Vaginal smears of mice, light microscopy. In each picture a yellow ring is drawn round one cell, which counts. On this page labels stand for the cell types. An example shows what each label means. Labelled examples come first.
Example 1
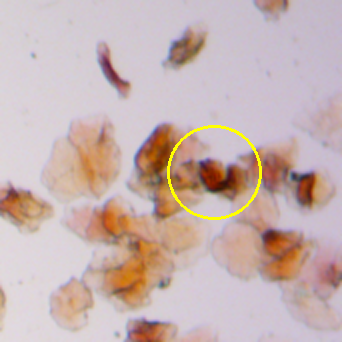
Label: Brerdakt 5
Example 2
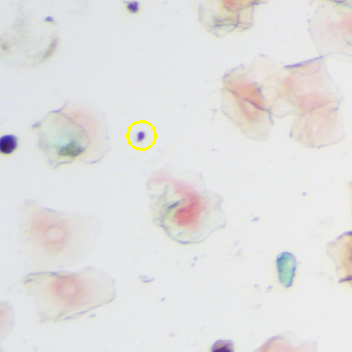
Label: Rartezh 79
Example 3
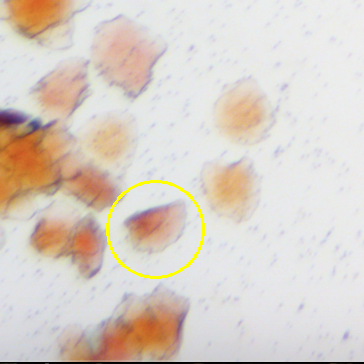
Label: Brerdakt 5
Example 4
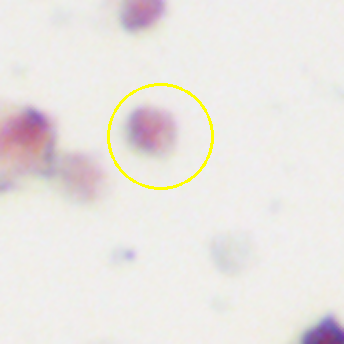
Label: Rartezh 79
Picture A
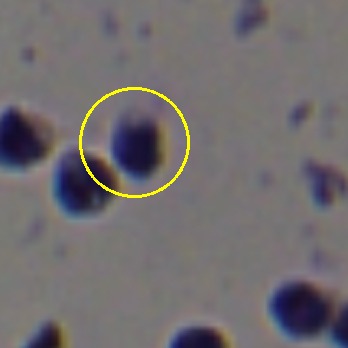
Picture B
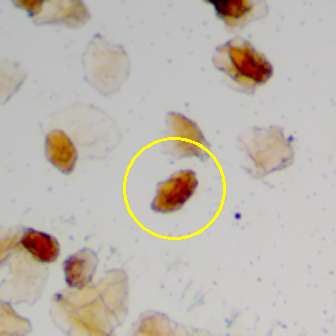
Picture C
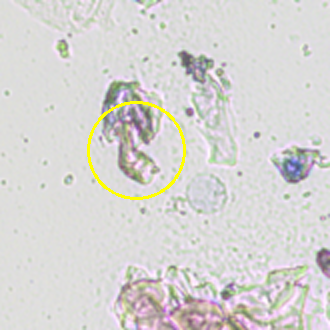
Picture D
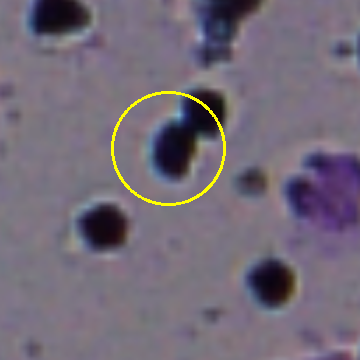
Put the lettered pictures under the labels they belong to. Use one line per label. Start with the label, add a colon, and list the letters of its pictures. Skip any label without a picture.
Brerdakt 5: B, C
Rartezh 79: A, D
